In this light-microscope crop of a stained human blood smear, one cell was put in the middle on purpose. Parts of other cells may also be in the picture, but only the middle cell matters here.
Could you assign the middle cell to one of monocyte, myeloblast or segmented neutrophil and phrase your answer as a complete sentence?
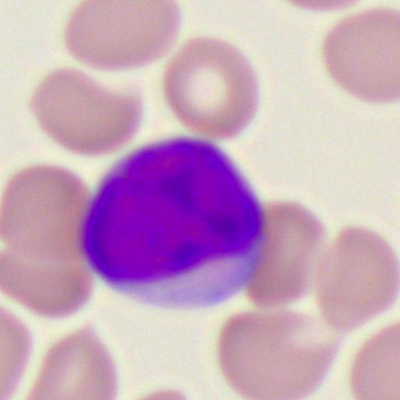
The cell found in the middle of this crop is a myeloblast.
